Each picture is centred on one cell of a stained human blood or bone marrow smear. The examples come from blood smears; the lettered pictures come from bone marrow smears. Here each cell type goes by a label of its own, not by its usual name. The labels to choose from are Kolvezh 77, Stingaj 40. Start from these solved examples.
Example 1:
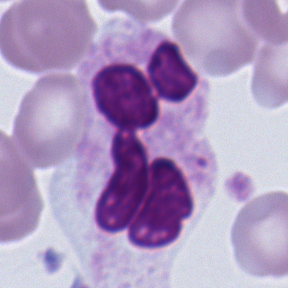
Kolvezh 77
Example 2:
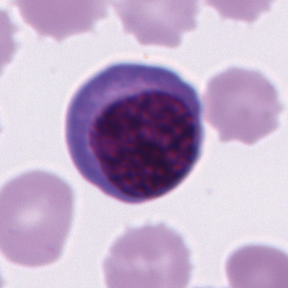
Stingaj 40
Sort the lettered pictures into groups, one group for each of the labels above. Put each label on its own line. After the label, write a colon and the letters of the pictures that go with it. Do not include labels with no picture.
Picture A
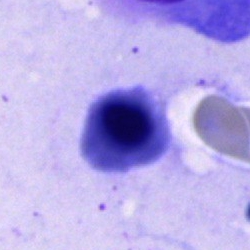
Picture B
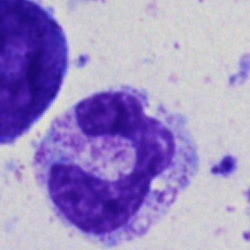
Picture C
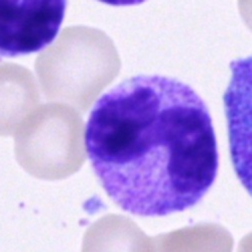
Kolvezh 77: B, C
Stingaj 40: A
